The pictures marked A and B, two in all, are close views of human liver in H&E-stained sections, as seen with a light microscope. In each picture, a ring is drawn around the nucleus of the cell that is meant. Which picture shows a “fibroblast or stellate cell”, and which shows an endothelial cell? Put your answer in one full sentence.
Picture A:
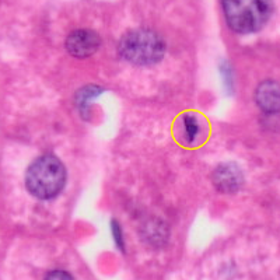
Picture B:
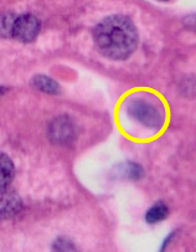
It is picture A that shows a “fibroblast or stellate cell”, and picture B that shows an endothelial cell.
